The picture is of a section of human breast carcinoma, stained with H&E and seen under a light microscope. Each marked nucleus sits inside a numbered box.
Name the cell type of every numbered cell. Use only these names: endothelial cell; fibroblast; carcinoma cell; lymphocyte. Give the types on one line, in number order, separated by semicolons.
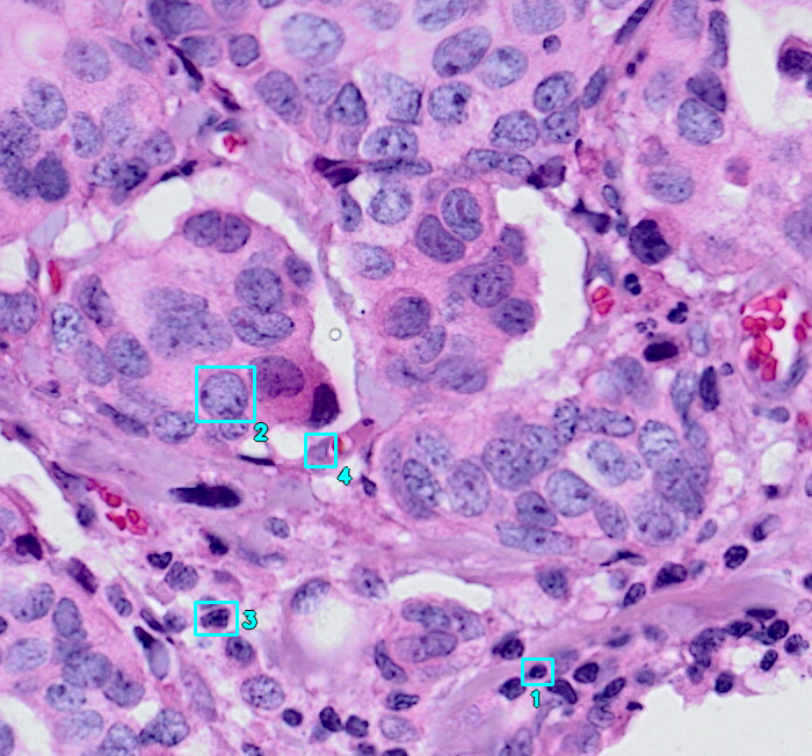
lymphocyte; carcinoma cell; lymphocyte; endothelial cell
